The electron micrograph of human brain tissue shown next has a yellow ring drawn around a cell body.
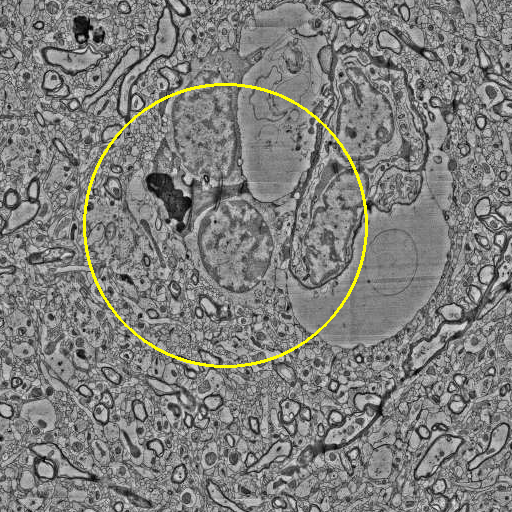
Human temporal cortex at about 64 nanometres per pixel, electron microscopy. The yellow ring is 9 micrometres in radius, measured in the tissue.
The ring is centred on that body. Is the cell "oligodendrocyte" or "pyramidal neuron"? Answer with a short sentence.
The cell in question is an oligodendrocyte.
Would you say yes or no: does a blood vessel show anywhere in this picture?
Yes, a blood vessel shows in the picture.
